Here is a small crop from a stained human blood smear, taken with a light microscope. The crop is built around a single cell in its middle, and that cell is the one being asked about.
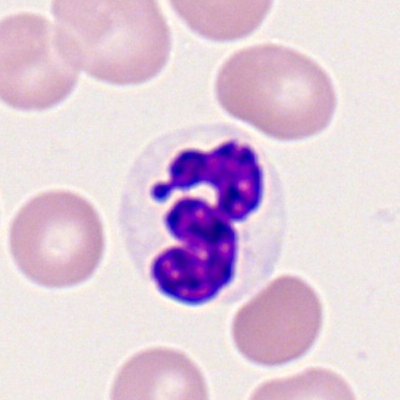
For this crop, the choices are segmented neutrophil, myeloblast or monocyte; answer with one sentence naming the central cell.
Looking at the middle of the crop, the cell there is a segmented neutrophil.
